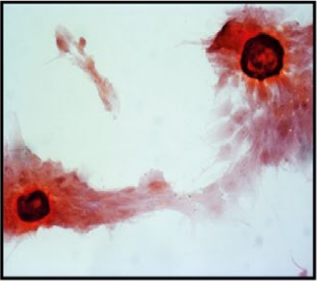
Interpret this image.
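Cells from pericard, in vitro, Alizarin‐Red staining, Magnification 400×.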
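Around each nodule the cells spread out flat and radiate outward, their cytoplasm tinted orange-red. A band of elongated, paler red cells connects the two clusters across the field, while the background between them is clear and unstained.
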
